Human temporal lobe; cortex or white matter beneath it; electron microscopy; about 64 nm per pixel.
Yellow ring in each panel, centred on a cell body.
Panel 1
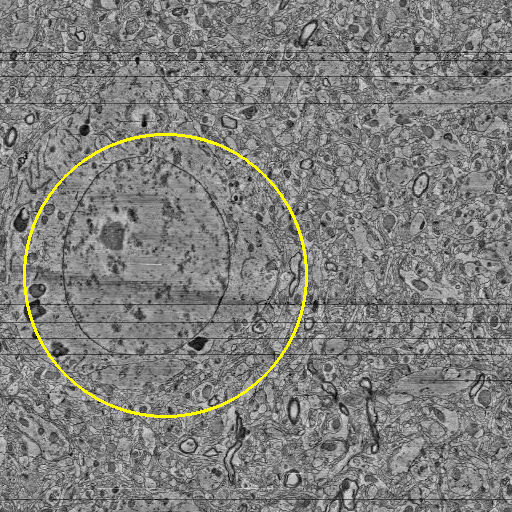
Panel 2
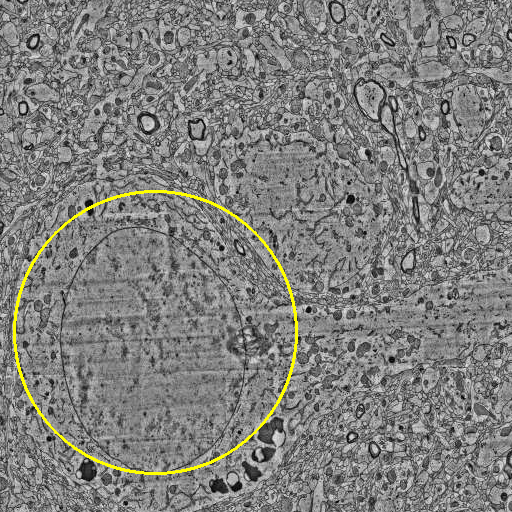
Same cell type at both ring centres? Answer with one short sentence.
Yes, both cells are of the same type.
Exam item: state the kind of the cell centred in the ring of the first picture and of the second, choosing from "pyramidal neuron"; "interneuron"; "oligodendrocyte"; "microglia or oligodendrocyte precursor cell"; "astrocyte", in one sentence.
Each of the two rings is centred on a pyramidal neuron.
